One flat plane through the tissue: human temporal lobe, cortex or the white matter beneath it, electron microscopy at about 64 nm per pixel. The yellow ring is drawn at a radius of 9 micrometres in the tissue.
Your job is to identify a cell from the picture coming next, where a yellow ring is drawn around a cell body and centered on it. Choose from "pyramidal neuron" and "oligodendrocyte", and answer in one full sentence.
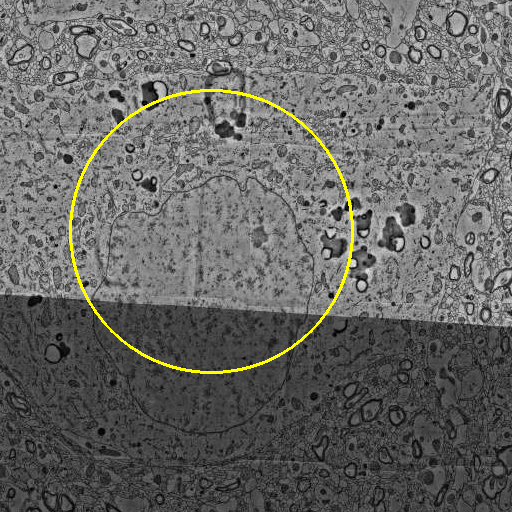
Centered in the yellow ring of the picture is the body of a pyramidal neuron.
